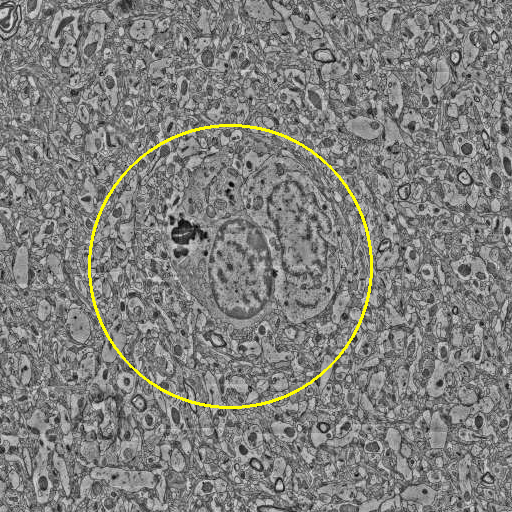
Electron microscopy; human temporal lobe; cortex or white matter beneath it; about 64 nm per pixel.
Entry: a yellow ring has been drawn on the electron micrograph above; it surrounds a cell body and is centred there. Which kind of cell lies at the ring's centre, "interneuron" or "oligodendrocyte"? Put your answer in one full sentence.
The cell sitting at the ring's centre is an oligodendrocyte in the micrograph above.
